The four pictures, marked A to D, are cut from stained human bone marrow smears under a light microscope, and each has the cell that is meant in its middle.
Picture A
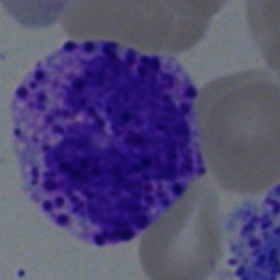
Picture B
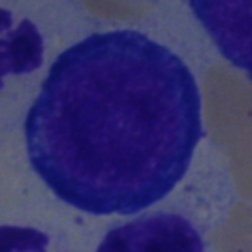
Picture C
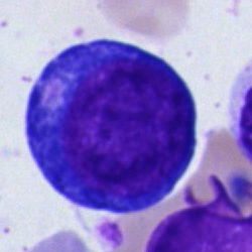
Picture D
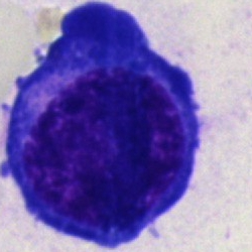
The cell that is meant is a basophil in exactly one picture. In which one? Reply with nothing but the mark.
A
